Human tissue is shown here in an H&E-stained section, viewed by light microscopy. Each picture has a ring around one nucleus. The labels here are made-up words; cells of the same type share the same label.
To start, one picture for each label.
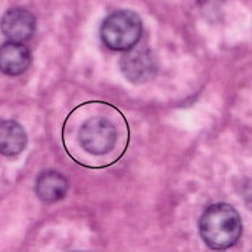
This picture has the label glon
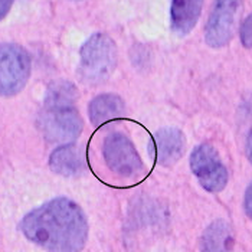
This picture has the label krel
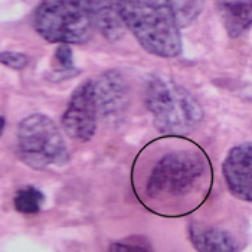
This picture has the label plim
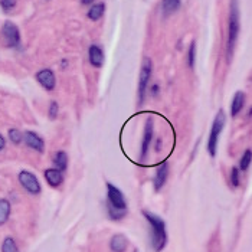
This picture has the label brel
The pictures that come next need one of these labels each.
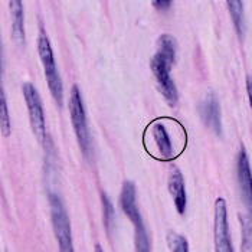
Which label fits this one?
brel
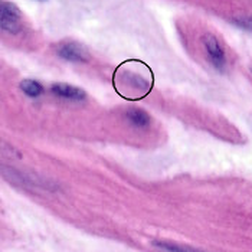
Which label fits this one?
brel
